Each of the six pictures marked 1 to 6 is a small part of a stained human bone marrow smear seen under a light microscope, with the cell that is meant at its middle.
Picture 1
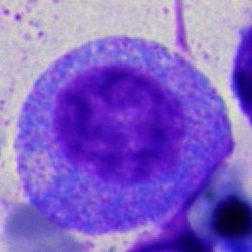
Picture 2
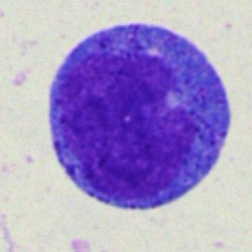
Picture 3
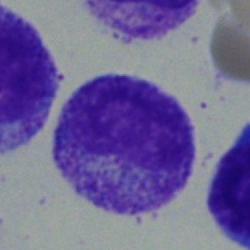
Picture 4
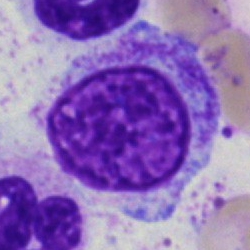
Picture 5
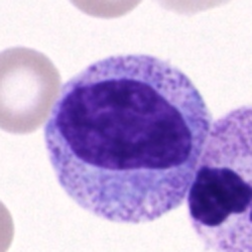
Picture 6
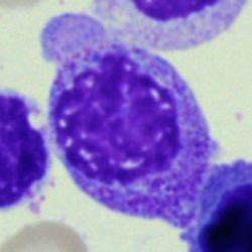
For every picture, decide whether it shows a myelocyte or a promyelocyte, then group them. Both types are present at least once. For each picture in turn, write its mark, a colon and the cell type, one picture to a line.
1: promyelocyte
2: promyelocyte
3: myelocyte
4: myelocyte
5: myelocyte
6: myelocyte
